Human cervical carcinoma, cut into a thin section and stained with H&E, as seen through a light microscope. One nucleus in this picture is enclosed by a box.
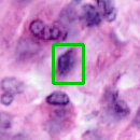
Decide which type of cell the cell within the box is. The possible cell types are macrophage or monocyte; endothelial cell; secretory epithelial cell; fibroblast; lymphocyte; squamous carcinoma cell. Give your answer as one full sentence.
As far as its identity is concerned, the cell within the box is a lymphocyte.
